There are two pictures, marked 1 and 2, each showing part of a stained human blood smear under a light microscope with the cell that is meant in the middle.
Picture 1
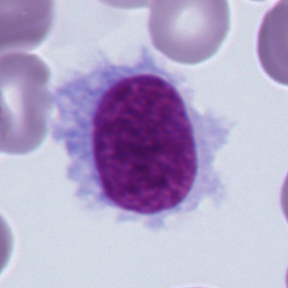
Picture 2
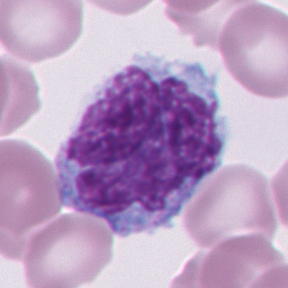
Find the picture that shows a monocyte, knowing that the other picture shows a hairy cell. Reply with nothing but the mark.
2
